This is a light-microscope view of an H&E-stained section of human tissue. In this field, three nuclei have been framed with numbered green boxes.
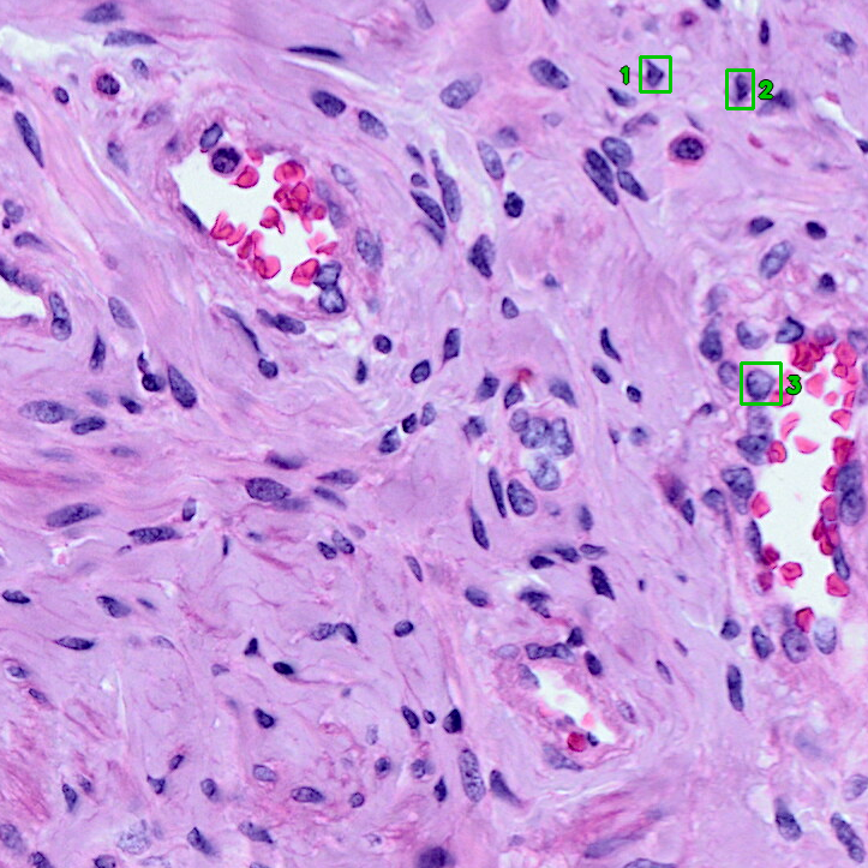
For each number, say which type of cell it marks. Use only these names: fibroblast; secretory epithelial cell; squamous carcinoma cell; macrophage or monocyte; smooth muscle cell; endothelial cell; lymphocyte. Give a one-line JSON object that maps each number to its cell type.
{"1": "fibroblast", "2": "fibroblast", "3": "endothelial cell"}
